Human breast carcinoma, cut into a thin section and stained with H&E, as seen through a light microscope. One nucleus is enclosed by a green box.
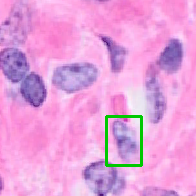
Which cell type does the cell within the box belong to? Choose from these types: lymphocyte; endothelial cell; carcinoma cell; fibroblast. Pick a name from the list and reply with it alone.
endothelial cell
